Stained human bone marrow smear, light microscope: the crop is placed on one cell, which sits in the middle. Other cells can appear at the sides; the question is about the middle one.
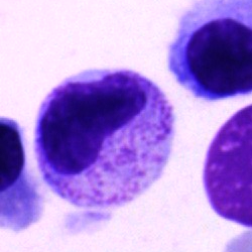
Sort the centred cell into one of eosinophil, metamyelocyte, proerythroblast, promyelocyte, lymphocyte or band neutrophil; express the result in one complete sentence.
This particular crop is centered on a metamyelocyte.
